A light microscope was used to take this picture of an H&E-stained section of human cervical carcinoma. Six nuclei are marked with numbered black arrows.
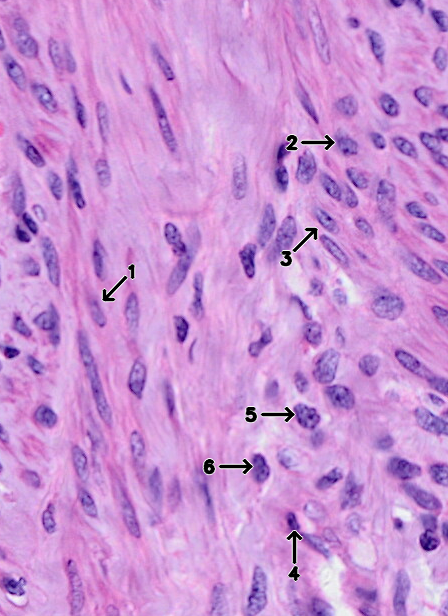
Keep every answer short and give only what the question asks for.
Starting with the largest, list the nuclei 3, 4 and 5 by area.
5, 3, 4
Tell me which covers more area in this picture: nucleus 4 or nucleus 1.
1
